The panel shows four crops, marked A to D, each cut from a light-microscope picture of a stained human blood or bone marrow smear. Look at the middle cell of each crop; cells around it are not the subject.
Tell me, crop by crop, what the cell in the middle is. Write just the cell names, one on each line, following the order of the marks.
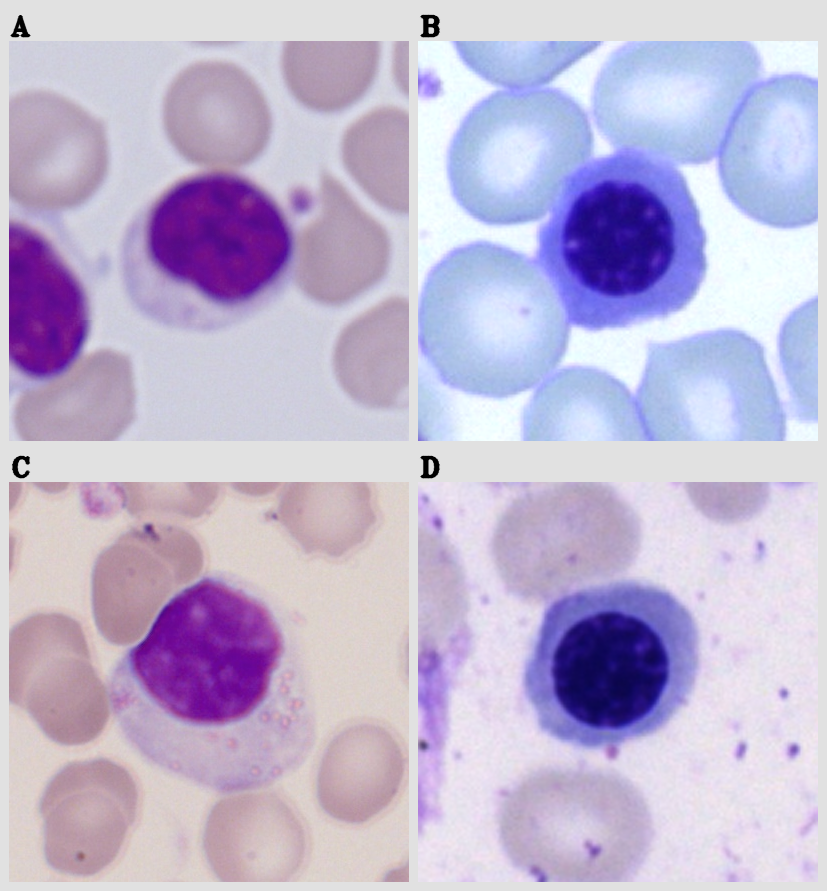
lymphocyte
erythroblast
lymphocyte
erythroblast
